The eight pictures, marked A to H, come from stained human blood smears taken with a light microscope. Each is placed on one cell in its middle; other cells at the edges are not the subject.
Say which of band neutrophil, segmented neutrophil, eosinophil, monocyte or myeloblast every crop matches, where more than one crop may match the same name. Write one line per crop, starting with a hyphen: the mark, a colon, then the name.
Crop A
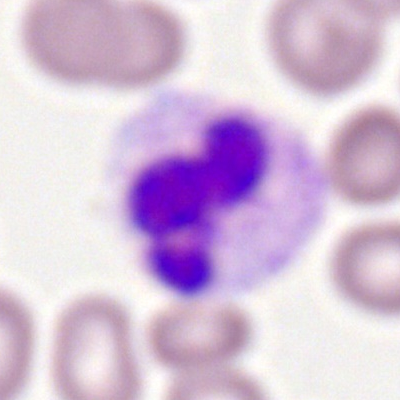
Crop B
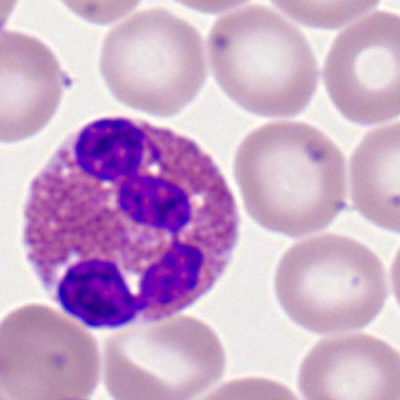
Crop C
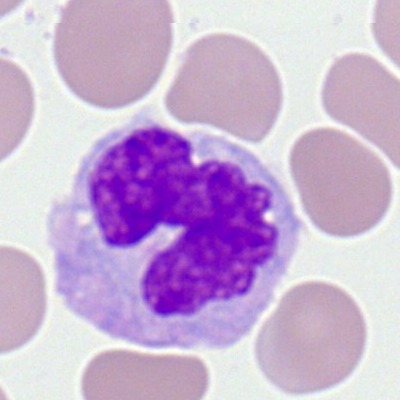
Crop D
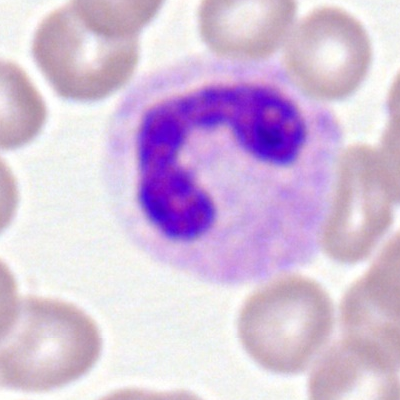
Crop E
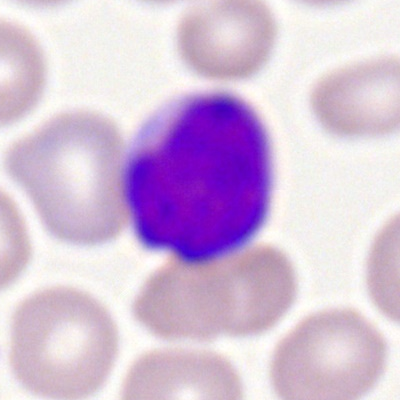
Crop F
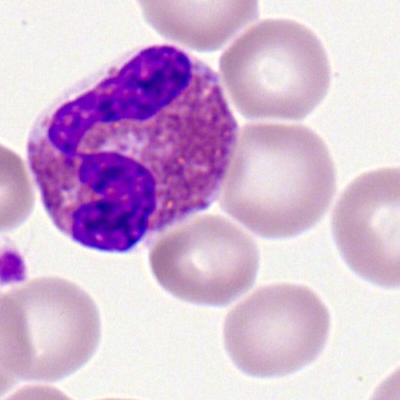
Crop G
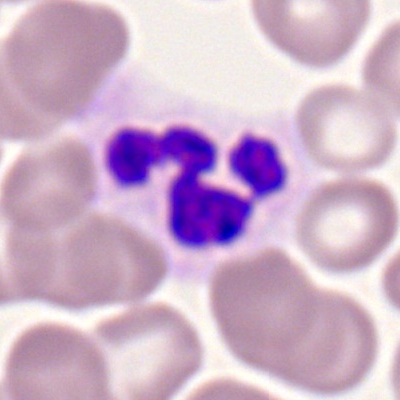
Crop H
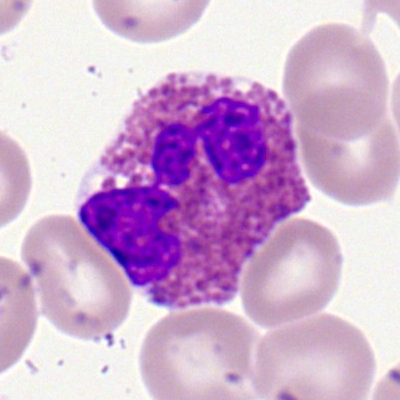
- A: segmented neutrophil
- B: eosinophil
- C: monocyte
- D: band neutrophil
- E: myeloblast
- F: eosinophil
- G: segmented neutrophil
- H: eosinophil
